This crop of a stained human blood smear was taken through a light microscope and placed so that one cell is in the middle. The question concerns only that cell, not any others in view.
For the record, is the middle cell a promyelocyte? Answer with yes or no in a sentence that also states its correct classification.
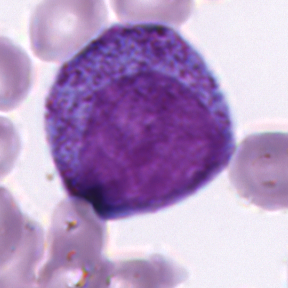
Yes, placed in the middle of the crop is a promyelocyte.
